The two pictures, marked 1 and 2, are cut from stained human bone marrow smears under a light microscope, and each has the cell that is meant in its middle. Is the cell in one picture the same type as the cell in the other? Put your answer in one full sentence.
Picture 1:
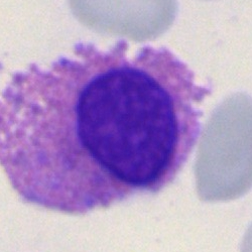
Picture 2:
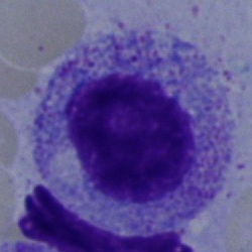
No. Picture 1 shows an eosinophil, but picture 2 shows a myelocyte.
